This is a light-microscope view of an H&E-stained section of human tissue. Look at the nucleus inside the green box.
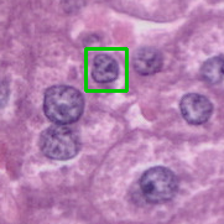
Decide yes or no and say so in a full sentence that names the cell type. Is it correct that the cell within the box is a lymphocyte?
No, the cell within the box is to be identified as a hepatocyte, not a lymphocyte.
